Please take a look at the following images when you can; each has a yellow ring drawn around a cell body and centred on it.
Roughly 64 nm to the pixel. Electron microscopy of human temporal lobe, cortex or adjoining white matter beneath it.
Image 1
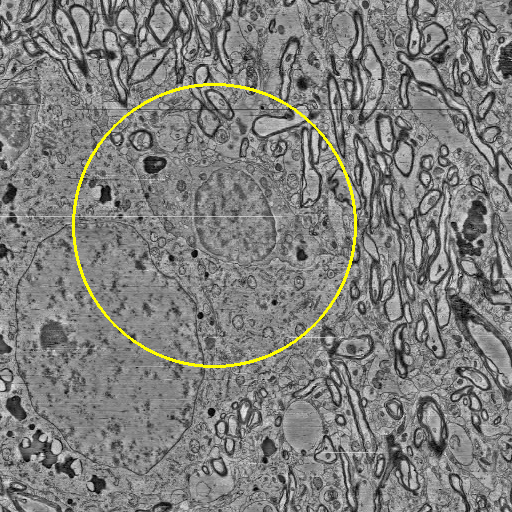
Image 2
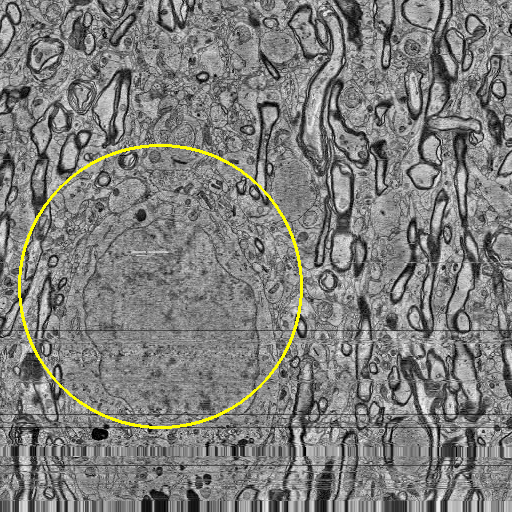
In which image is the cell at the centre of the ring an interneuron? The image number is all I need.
2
